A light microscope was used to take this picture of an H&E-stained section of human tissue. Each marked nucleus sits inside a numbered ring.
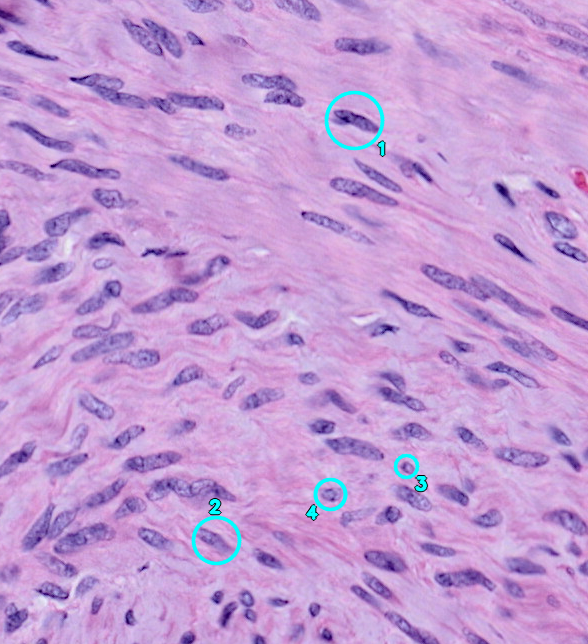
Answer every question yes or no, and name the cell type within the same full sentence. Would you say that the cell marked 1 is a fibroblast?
Yes. The cell carrying number 1 is a fibroblast.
